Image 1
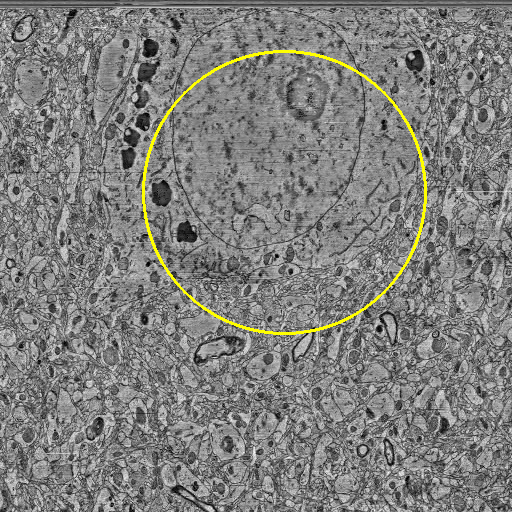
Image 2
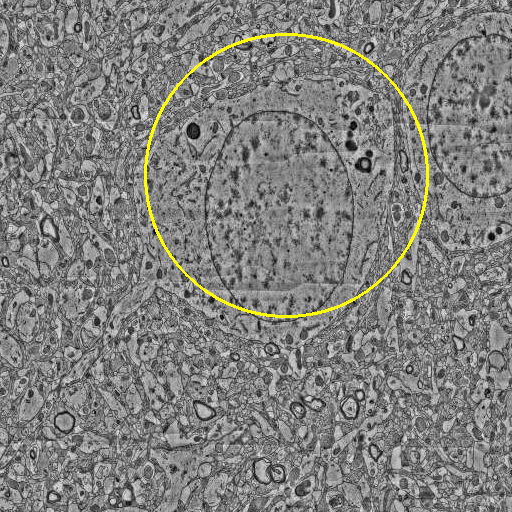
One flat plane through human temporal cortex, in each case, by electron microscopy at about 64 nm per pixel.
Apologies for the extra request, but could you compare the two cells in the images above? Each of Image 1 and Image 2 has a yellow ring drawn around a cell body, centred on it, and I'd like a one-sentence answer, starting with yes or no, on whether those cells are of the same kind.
Yes, both cells are of the same kind.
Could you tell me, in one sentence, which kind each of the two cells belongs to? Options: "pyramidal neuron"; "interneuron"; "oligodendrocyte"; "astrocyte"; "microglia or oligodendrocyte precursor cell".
Each of the two cells is a pyramidal neuron.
